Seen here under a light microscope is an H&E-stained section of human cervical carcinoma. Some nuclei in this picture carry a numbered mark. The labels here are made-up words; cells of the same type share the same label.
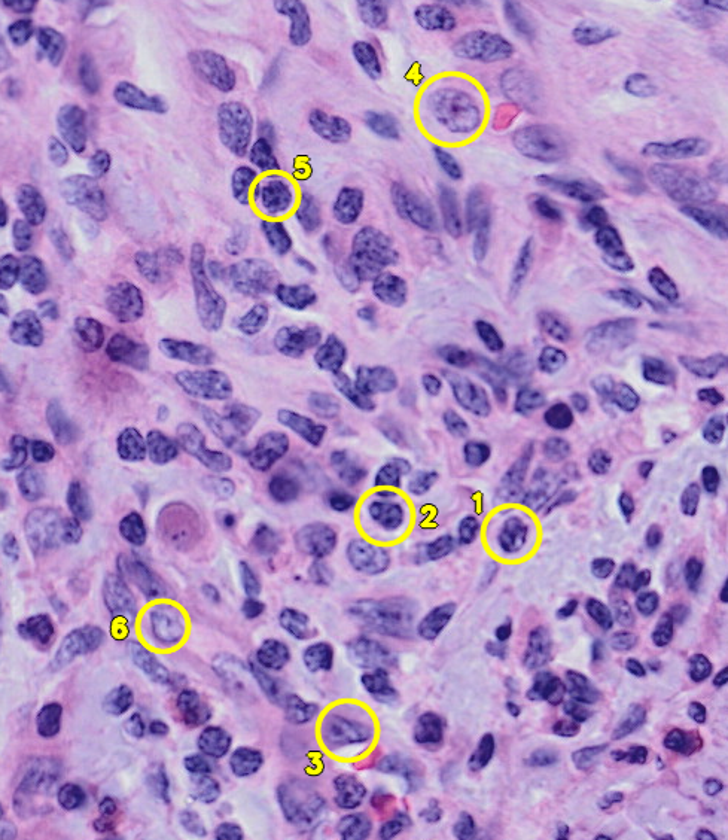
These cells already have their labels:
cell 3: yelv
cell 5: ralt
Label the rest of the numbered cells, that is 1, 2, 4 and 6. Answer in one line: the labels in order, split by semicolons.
ralt; ralt; yelv; yelv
